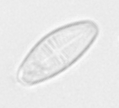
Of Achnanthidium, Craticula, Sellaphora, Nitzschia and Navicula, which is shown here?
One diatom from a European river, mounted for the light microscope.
Achnanthidium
